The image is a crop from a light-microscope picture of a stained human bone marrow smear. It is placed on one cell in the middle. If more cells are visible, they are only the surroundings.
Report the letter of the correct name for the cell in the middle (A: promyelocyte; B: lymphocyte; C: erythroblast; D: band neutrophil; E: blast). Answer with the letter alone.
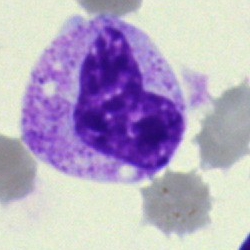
D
